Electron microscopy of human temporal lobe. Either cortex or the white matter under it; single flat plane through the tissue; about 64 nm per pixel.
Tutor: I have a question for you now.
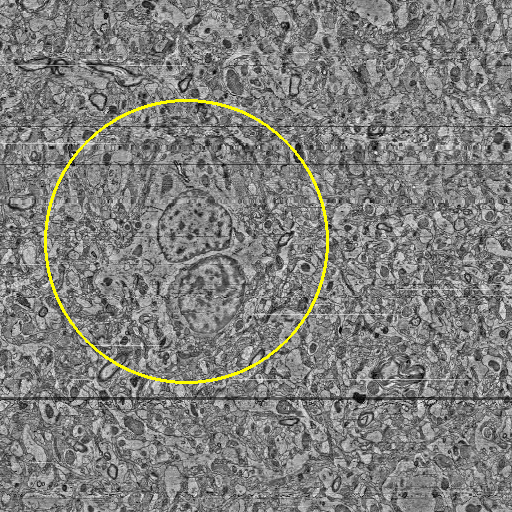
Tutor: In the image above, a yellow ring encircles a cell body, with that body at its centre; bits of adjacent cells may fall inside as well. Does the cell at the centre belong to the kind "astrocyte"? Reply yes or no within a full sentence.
Yes, the cell at the centre of the yellow ring in the picture is of that kind.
